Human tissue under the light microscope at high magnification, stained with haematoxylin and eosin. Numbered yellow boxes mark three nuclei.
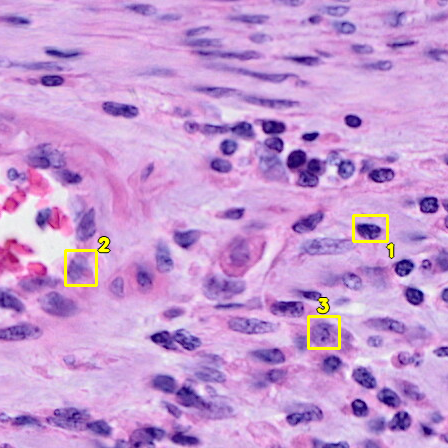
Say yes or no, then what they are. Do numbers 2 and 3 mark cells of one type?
No, cell 2 is an endothelial cell and cell 3 is a macrophage or monocyte.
